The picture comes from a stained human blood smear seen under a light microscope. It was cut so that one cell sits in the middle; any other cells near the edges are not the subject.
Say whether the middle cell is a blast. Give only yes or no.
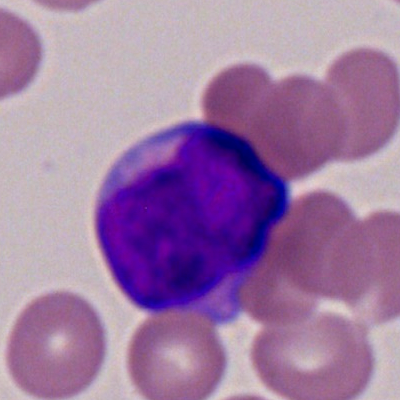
yes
